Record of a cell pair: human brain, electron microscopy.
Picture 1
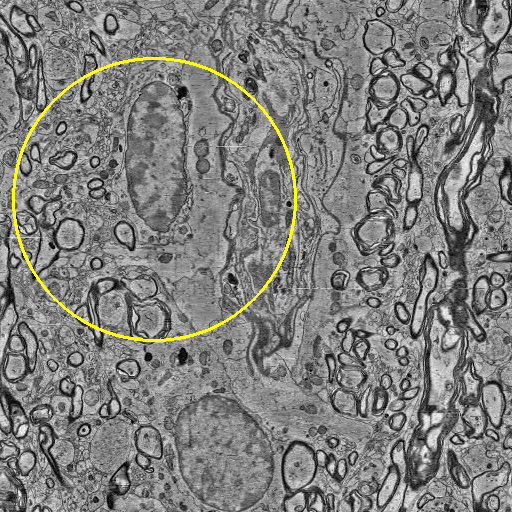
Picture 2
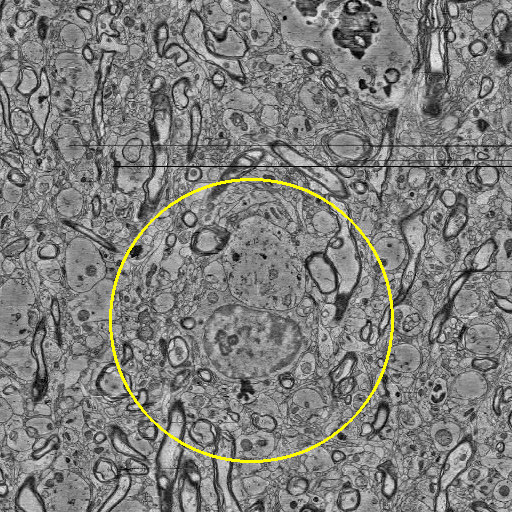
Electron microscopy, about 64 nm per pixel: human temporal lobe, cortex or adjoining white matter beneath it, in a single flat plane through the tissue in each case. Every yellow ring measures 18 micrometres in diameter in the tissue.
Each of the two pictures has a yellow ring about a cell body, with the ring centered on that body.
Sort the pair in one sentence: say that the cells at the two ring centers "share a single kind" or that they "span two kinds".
The cells centered in the rings of Pictures 1 and 2 span two kinds.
